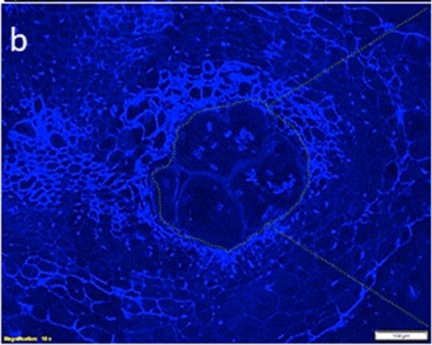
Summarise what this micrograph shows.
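This is a section through a root gall with a feeding site of several enlarged giant cells in its centre, ringed by much smaller, tightly packed root cells. Inside the giant cells lie scattered small clumps of blue nuclei, and the cell walls show as bright blue outlines.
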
